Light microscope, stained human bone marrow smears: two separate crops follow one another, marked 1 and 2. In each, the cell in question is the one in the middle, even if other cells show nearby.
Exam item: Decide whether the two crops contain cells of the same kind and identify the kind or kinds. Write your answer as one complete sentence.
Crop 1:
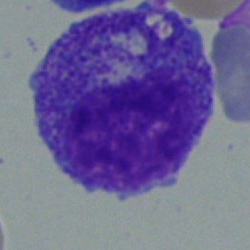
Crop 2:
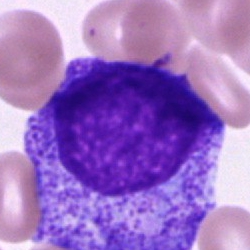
Yes, both crops show promyelocytes as their central cells.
